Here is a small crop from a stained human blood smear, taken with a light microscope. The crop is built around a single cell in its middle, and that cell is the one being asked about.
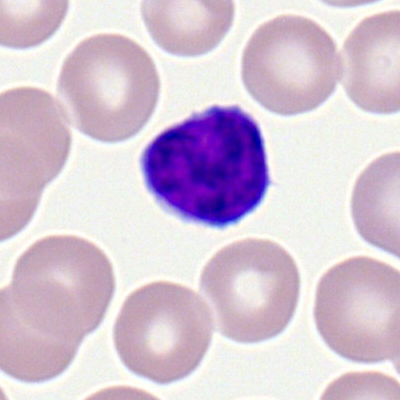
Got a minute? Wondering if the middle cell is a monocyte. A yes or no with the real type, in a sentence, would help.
No, the cell in the middle should be called a lymphocyte instead of a monocyte.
